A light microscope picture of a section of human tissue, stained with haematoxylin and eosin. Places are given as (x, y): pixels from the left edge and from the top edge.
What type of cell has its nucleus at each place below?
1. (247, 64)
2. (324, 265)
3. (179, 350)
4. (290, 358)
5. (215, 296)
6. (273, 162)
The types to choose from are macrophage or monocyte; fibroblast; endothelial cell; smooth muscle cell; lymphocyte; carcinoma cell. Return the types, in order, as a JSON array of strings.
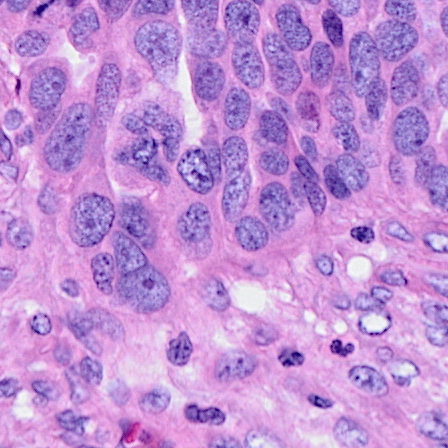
["carcinoma cell", "fibroblast", "macrophage or monocyte", "lymphocyte", "fibroblast", "carcinoma cell"]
